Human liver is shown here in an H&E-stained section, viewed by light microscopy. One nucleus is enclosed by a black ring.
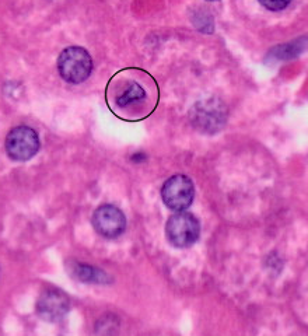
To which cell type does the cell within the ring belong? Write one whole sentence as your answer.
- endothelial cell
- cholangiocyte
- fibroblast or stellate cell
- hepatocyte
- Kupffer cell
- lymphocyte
The cell meant here is a Kupffer cell.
